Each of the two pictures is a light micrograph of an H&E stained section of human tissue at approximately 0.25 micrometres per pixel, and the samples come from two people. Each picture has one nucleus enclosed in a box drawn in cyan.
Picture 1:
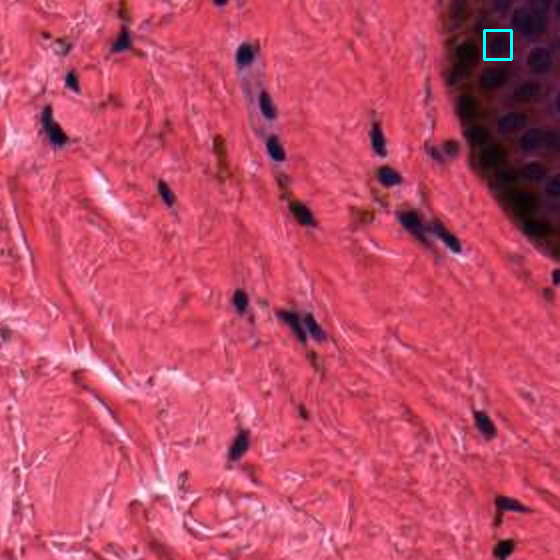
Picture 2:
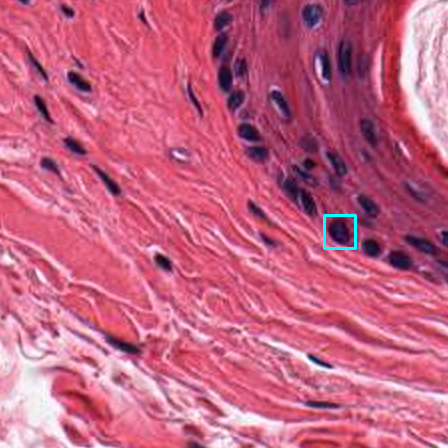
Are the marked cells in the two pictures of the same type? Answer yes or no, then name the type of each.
Yes, both are keratinocytes.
